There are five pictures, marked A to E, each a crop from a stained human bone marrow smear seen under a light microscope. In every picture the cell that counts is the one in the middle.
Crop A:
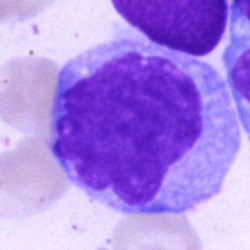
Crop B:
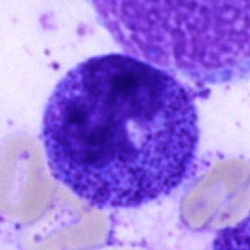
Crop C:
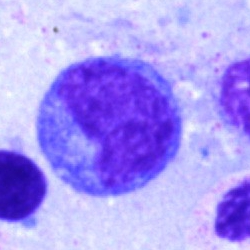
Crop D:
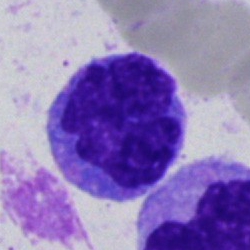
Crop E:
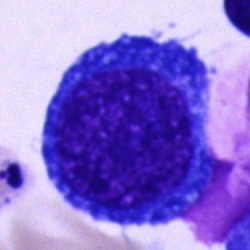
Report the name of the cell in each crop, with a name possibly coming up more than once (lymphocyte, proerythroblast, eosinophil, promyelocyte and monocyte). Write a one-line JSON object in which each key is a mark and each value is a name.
{"A": "monocyte", "B": "promyelocyte", "C": "monocyte", "D": "monocyte", "E": "proerythroblast"}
